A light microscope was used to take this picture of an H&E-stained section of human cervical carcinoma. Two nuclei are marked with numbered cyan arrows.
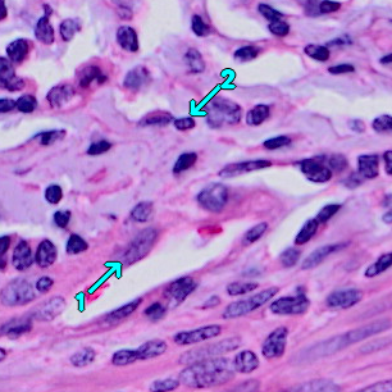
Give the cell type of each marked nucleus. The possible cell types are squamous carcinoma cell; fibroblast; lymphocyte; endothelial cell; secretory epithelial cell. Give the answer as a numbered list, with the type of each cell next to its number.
1. endothelial cell
2. lymphocyte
